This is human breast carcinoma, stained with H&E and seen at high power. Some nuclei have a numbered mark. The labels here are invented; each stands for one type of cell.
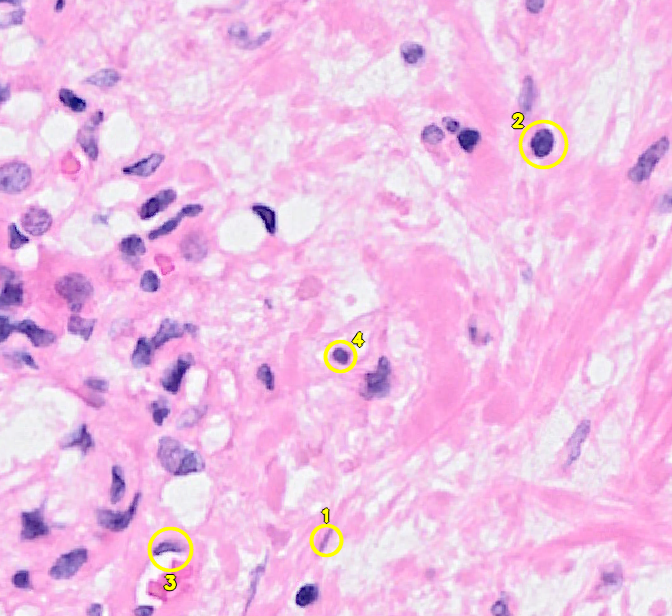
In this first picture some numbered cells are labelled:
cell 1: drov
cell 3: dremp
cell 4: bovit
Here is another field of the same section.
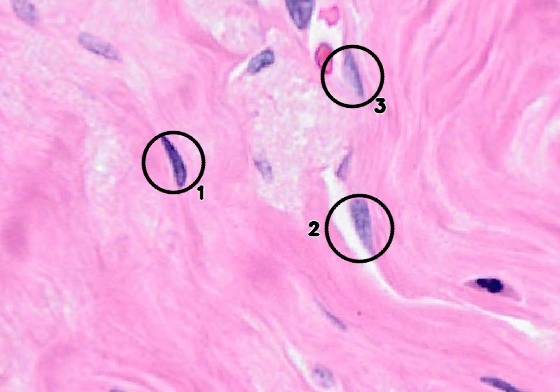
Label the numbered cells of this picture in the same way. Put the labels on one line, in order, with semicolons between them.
drov; drov; dremp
